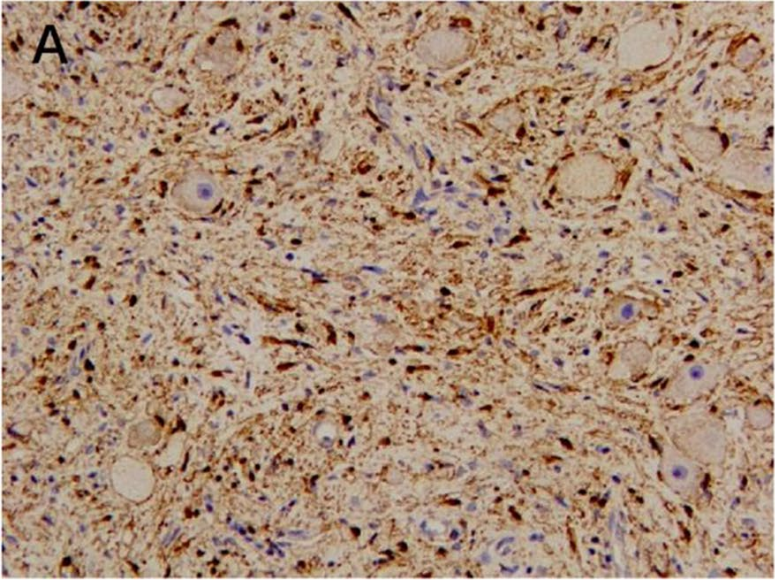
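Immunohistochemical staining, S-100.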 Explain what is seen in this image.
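Spindle-cell stroma with scattered large ganglion-like cells, in which the interstitial Schwann cells are stained brown. Large round to oval cells with abundant pale cytoplasm and round central nuclei lie scattered throughout and remain unstained, outlined by brown-stained cells at their rims.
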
